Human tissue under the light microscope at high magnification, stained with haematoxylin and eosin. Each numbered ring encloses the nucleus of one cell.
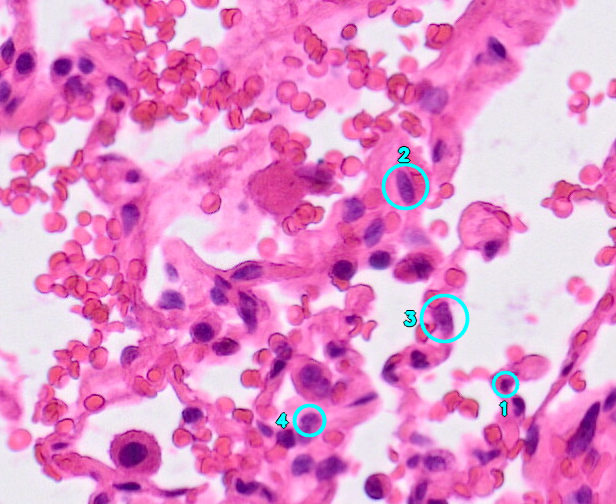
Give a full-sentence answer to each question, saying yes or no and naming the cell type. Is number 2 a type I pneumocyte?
Yes, the cell that the number 2 labels is a type I pneumocyte.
